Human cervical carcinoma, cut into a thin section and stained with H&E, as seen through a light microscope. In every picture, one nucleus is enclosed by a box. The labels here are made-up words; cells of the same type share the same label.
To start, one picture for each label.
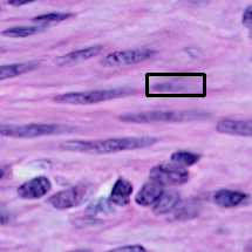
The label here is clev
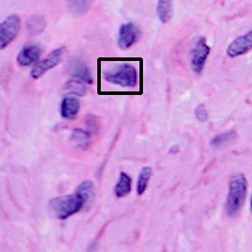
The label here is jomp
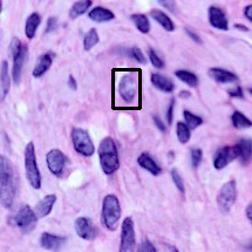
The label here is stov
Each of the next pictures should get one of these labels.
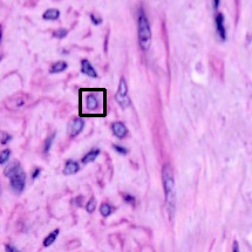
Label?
clev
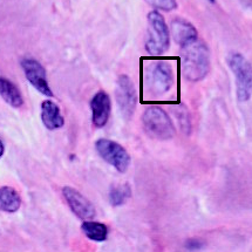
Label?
stov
